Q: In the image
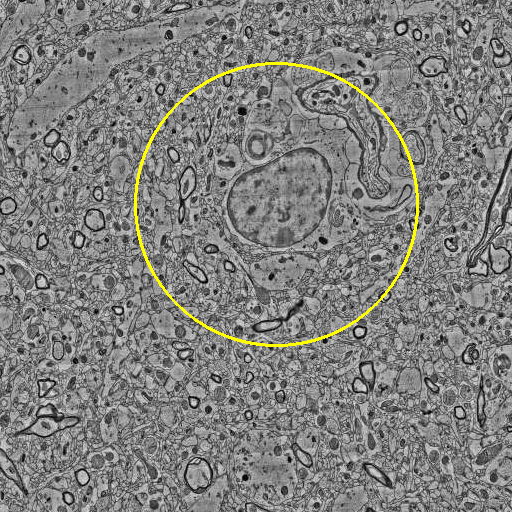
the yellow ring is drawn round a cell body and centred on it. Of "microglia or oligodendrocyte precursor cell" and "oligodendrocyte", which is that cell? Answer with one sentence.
The cell centred in the ring is a microglial cell or oligodendrocyte precursor cell.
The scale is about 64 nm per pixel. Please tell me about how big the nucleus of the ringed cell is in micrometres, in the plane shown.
The nucleus comes to roughly 7 by 6 micrometres in this plane.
